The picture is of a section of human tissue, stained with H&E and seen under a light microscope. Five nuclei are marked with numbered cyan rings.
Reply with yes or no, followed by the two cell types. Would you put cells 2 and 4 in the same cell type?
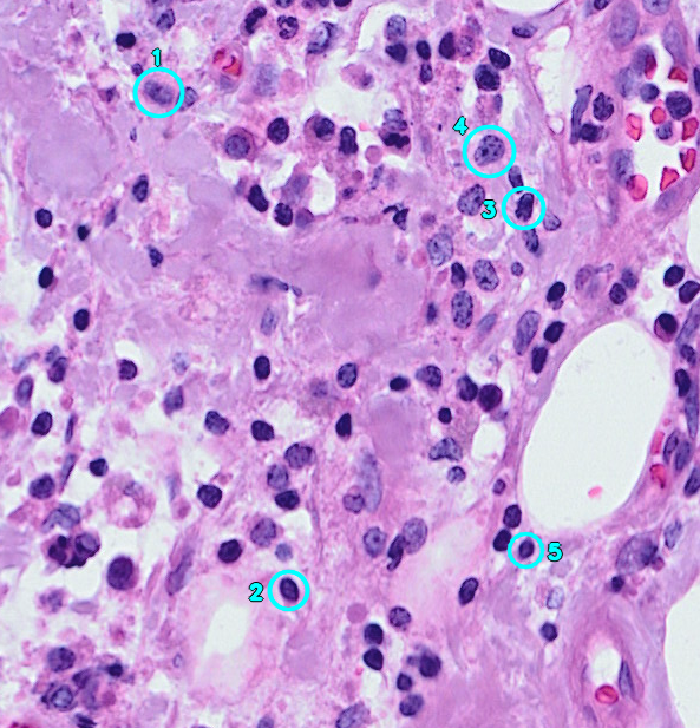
No, cell 4 is a mast cell, and cell 2 is a lymphocyte.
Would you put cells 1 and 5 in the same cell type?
No, here cell 1 is a mast cell, whereas cell 5 is a lymphocyte.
